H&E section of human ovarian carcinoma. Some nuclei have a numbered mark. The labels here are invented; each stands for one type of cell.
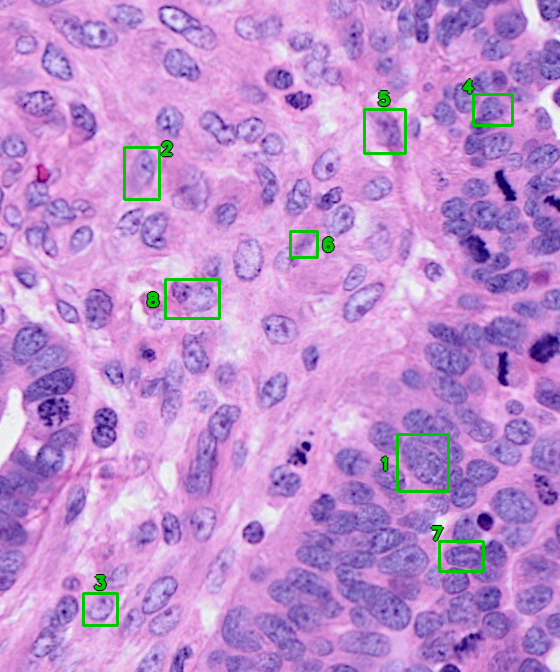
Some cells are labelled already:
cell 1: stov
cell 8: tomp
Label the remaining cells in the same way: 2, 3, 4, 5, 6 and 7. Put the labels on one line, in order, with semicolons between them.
tomp; tomp; stov; tomp; tomp; stov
